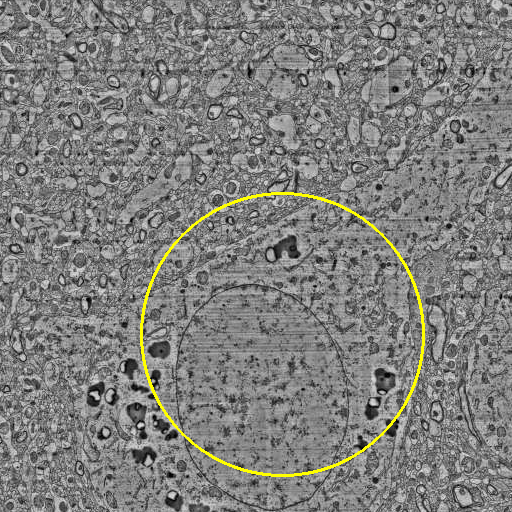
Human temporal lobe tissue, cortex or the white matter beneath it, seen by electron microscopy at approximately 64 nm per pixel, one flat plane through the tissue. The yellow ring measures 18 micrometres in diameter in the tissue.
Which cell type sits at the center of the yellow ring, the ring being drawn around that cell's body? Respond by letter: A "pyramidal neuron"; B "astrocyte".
A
